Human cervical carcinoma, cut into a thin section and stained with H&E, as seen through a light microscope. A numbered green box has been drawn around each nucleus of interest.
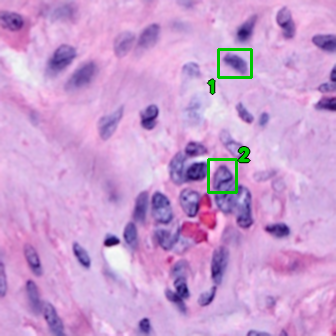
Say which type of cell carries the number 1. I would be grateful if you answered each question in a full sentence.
The one numbered 1 among the marked cells is a fibroblast.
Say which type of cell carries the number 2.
The numbered cell 2 is identified here as an endothelial cell.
